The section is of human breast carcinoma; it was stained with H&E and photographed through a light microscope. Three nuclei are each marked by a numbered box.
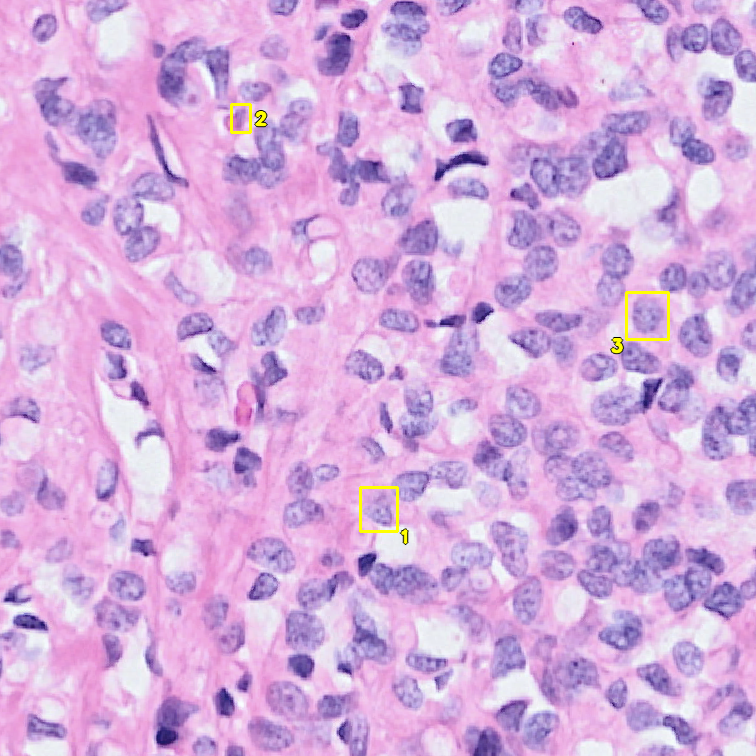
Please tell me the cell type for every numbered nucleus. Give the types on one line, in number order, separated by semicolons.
carcinoma cell; endothelial cell; carcinoma cell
